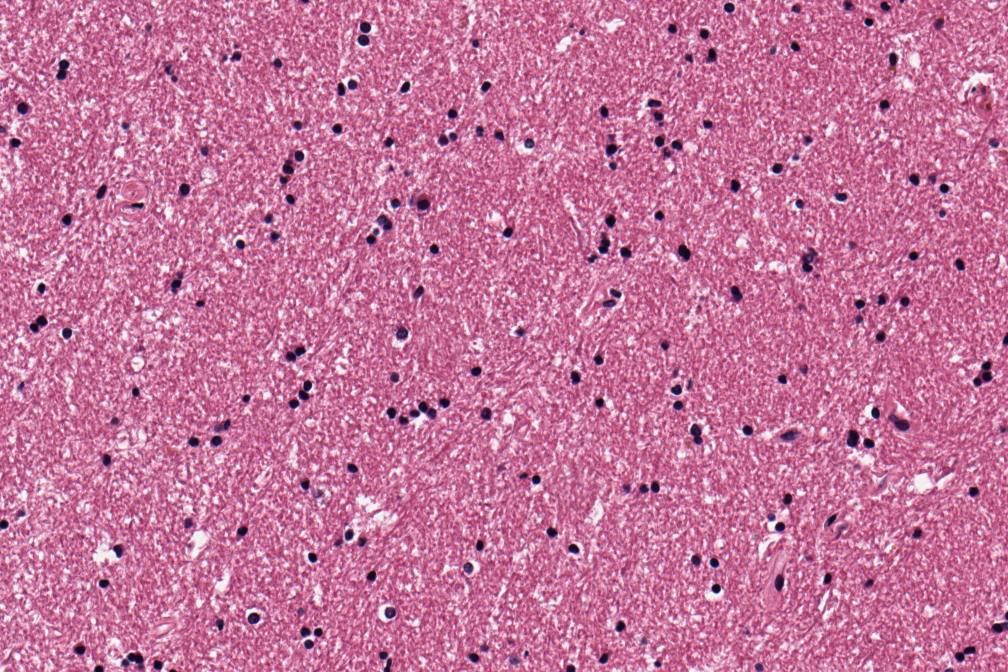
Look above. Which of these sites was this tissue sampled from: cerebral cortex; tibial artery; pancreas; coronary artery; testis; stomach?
cerebral cortex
